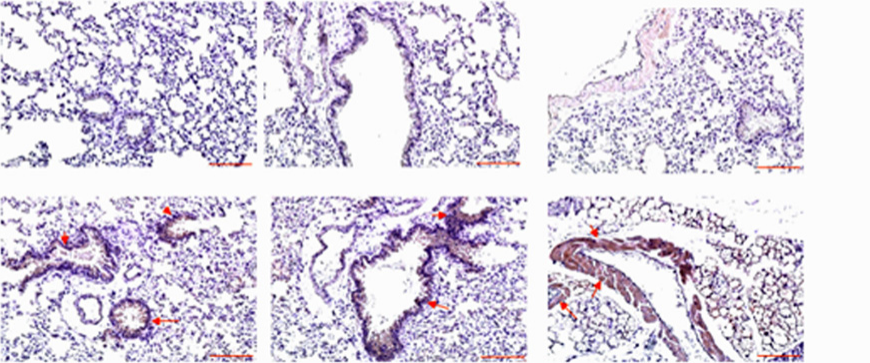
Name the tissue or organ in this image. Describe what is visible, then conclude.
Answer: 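Thin-walled air spaces fill the sections in a lace-like pattern. Tubular airways lined by epithelium cut in cross and long section. Blood vessels lie next to the airways.
Conclusion: lung tissue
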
